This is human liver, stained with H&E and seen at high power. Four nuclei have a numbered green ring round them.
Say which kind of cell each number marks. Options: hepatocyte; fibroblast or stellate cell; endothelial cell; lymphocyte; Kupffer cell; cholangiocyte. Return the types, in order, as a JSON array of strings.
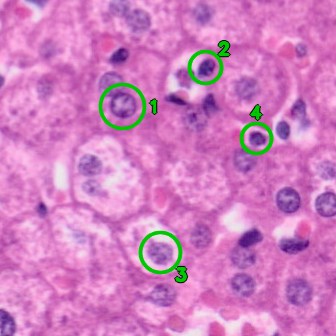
["hepatocyte", "lymphocyte", "hepatocyte", "lymphocyte"]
